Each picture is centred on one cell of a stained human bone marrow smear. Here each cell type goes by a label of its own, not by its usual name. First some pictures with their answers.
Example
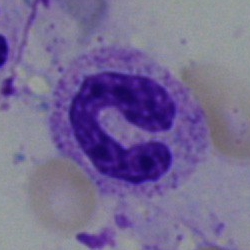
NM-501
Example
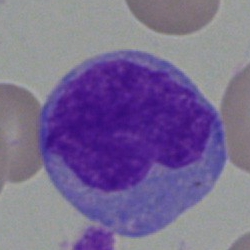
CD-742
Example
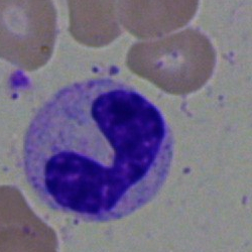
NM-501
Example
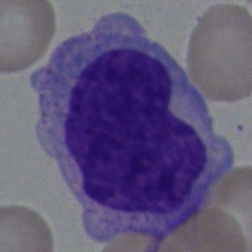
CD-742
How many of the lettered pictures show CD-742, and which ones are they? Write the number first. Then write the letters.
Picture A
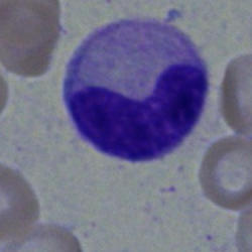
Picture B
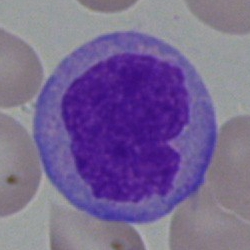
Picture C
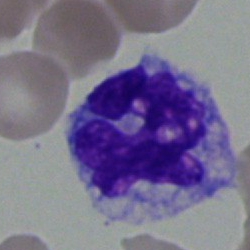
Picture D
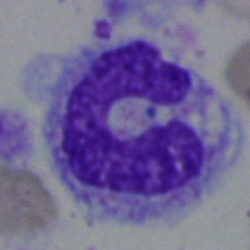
Count: 3 (B, C, D)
